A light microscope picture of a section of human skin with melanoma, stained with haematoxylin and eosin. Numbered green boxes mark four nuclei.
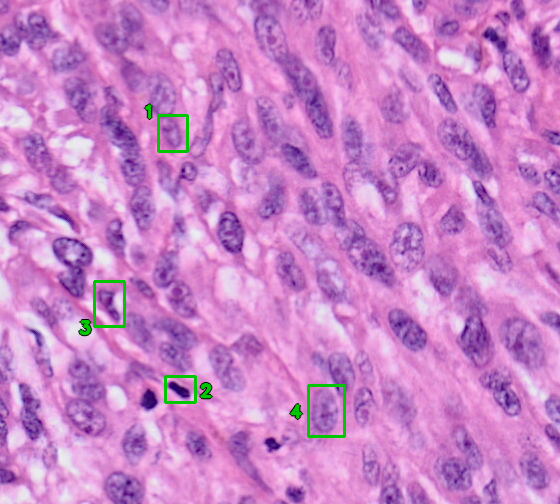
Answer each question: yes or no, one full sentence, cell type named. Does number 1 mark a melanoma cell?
Yes, number 1 corresponds to a melanoma cell.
